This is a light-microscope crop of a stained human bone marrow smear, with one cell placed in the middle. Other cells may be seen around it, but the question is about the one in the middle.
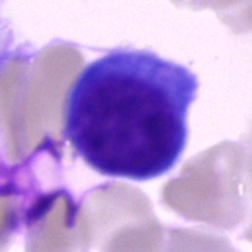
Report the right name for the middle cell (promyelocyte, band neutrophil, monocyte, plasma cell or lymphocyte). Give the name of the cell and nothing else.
plasma cell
